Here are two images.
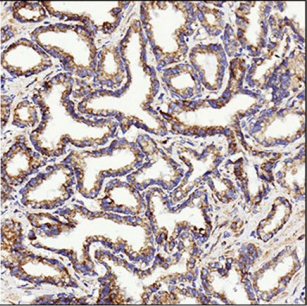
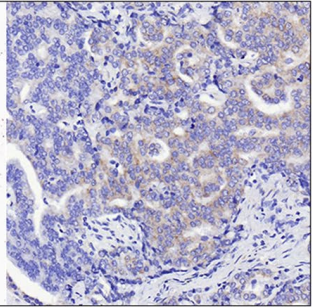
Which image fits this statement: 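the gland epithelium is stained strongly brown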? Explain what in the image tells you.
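The first image. Second image: tumour cells show only faint pale brown in the cytoplasm, nuclei mostly blue. First image: epithelial cells lining the glands are deep brown.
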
